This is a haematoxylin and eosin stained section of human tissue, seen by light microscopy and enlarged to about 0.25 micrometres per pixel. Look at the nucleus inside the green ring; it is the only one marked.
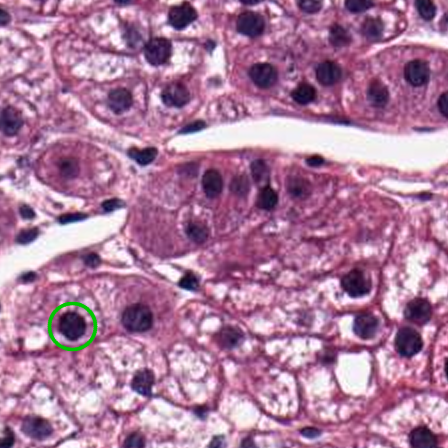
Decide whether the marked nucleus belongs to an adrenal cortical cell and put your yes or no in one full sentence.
Yes, the marked nucleus is a part of an adrenal cortical cell.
